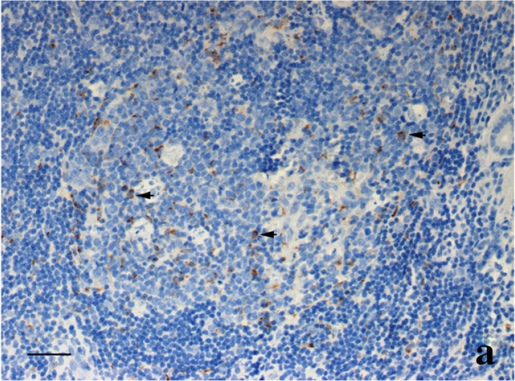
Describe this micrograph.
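A lymphoid follicle packed with small round lymphocytes with dark blue nuclei fills the field. A paler central zone holds larger cells with lighter nuclei, and small brown-stained cells and thin brown processes are scattered mainly within this paler zone.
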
